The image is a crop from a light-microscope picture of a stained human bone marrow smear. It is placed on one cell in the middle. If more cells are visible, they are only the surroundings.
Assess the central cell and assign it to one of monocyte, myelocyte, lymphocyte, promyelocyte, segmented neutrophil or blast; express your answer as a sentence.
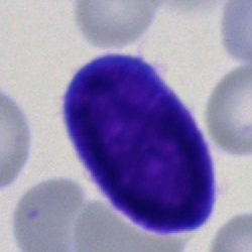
The cell in the middle of this crop is a blast.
